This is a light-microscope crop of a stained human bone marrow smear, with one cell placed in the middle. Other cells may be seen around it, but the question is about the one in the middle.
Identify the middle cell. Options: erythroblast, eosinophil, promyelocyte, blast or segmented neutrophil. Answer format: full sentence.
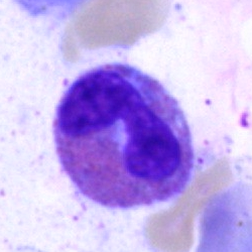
In the middle of this smear crop, the cell is an eosinophil.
